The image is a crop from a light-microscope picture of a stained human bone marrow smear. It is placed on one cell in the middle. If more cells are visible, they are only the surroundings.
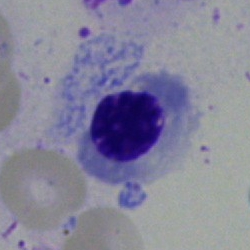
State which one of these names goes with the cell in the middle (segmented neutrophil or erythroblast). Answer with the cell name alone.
erythroblast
